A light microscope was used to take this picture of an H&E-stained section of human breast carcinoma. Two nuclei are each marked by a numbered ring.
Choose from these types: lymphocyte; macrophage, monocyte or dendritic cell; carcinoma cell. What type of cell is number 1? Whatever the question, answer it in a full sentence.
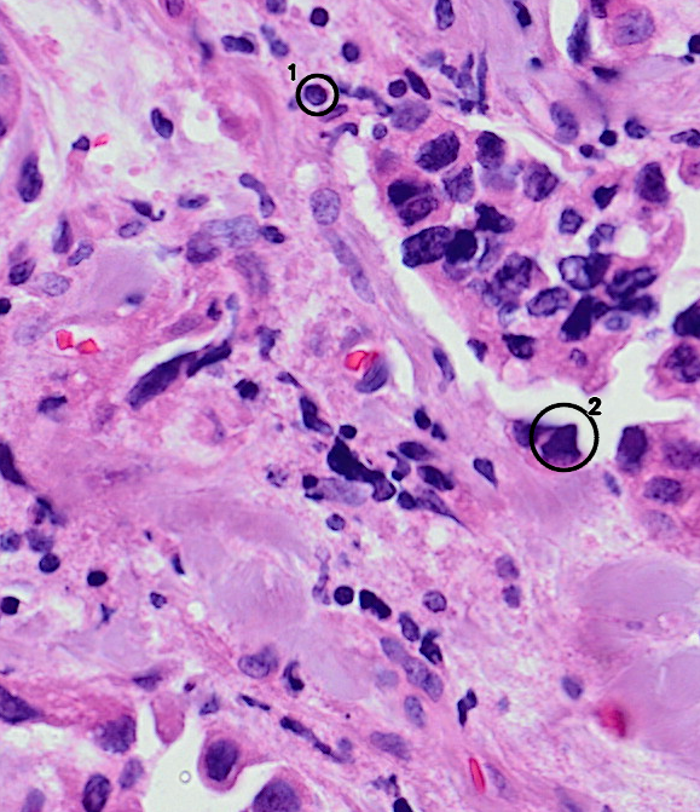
Within this field of view, the cell labelled 1 is a lymphocyte.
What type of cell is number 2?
Recognised here as a carcinoma cell is the cell numbered 2.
